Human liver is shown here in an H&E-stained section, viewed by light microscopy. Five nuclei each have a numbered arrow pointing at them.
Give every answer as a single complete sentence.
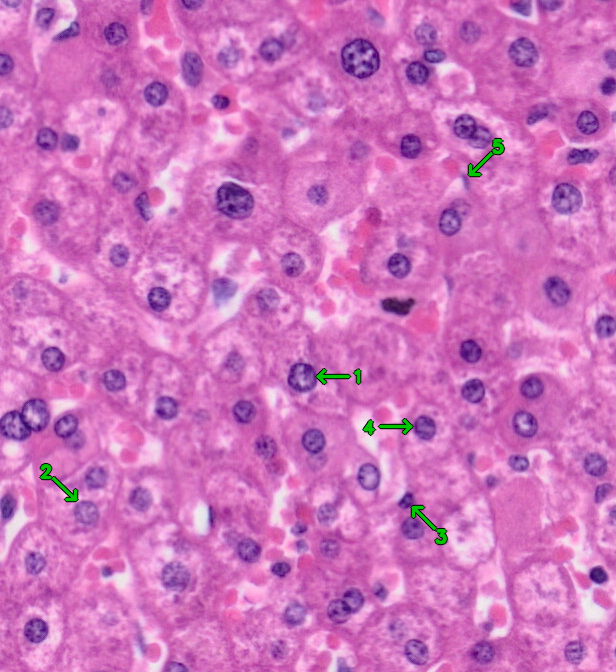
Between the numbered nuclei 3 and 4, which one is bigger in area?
Number 4 is larger; its area is about 2 times that of number 3.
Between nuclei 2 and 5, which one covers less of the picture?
Nucleus 5 covers less area, with nucleus 2 about 4 times as large.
